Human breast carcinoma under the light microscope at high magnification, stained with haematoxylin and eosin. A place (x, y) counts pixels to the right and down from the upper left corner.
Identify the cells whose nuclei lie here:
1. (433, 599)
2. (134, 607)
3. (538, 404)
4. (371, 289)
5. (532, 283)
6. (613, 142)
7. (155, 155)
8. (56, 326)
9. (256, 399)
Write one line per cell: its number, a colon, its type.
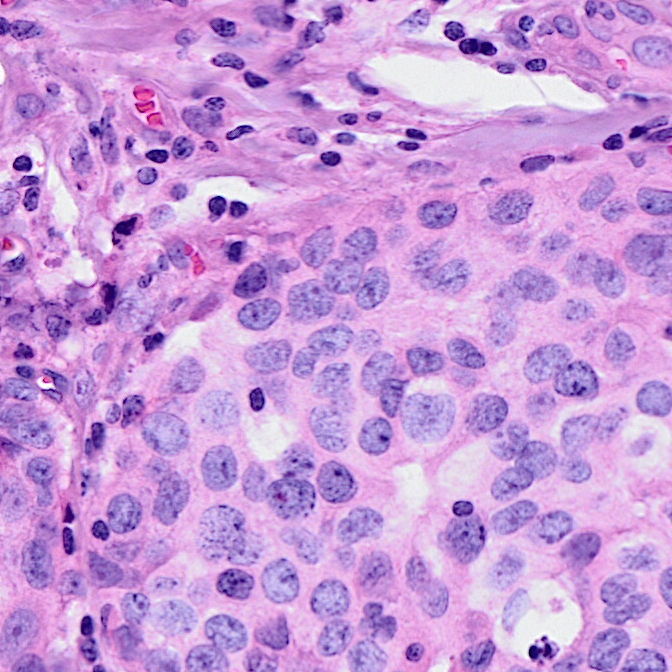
1: carcinoma cell
2: carcinoma cell
3: carcinoma cell
4: carcinoma cell
5: carcinoma cell
6: lymphocyte
7: lymphocyte
8: macrophage, monocyte or dendritic cell
9: lymphocyte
